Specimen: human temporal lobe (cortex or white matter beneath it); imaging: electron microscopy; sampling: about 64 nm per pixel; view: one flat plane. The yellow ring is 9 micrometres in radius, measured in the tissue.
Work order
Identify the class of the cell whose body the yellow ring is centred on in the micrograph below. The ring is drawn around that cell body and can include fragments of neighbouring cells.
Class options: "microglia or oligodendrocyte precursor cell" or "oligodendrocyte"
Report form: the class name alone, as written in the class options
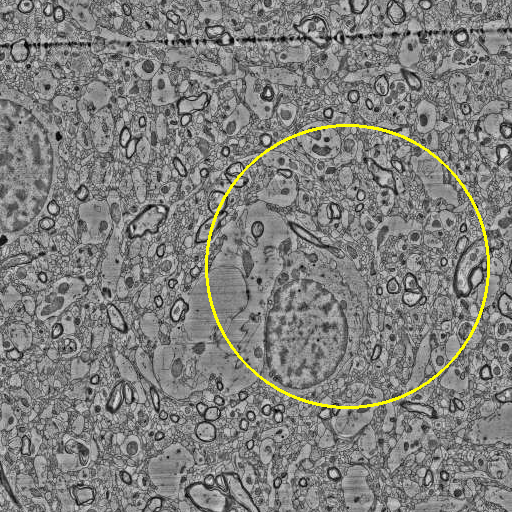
oligodendrocyte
